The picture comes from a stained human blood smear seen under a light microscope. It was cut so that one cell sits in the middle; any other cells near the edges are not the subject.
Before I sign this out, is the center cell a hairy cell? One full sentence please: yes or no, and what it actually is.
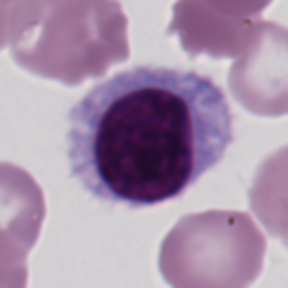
Yes, the cell centred in this crop is a hairy cell.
